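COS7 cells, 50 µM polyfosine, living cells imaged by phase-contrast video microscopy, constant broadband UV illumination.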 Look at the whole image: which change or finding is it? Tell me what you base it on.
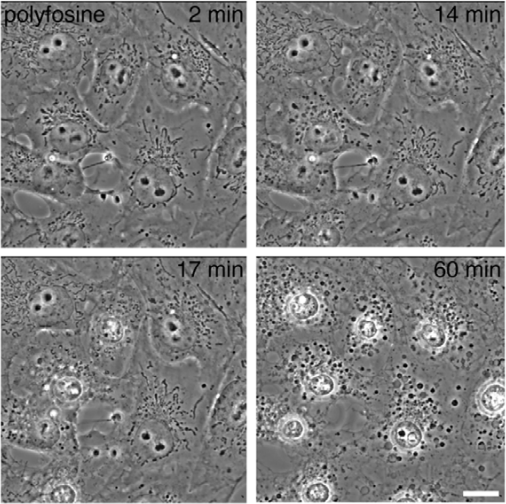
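In the earliest frames the dark organelles around the nuclei are long threads. In the last frame they have become many small round dark dots. No long threads remain in the last frame. The answer: fragmented.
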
